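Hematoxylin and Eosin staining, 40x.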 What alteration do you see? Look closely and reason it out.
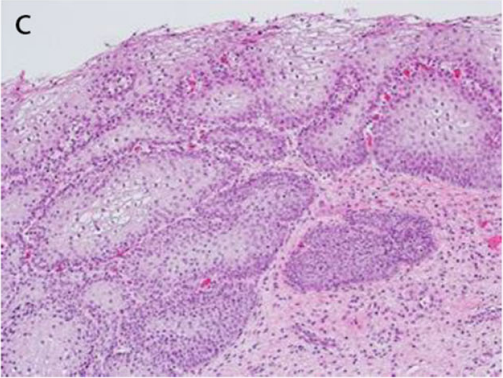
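The lining is a thick stratified epithelium of polygonal cells with pale, clear cytoplasm. The epithelium pushes down into the stroma as broad rounded pegs. No eosinophilic keratin layer covers the surface. On this evidence: non-keratinzing squamous metaplasia.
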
